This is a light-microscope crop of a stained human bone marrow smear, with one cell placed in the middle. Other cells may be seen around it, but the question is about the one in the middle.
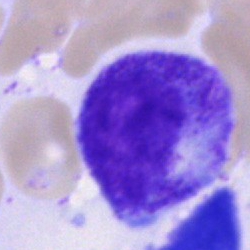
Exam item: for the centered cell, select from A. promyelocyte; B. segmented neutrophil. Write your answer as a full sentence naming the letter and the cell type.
The cell at the heart of the crop is a promyelocyte, so choose option A.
